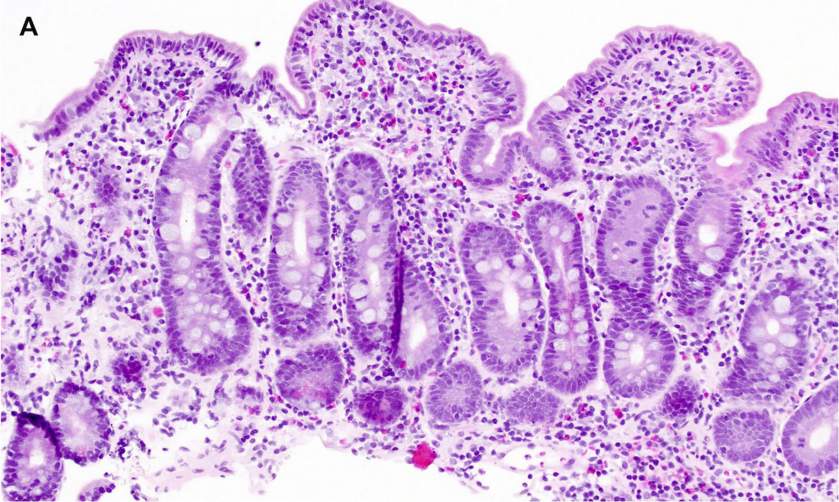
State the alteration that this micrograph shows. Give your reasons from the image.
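Total villous atrophy. The mucosal surface is flat to slightly undulating, with no tall finger-like villi.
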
